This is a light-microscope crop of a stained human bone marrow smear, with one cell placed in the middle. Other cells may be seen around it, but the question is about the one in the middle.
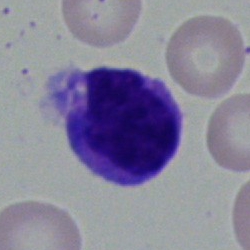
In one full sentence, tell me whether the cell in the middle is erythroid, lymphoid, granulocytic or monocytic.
The middle cell of the crop arises from the monocytic lineage.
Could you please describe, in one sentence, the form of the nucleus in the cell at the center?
The nuclear material is gathered into one compact round, oval or kidney-shaped mass.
